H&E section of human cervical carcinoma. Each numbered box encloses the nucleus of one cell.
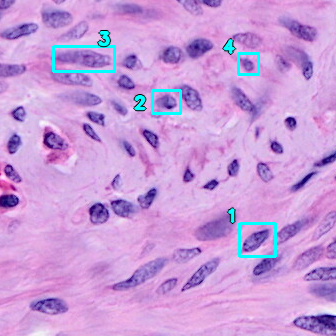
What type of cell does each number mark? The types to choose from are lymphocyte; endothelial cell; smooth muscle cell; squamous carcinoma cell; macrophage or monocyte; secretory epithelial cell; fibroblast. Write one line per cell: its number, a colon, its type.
1: fibroblast
2: smooth muscle cell
3: smooth muscle cell
4: smooth muscle cell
